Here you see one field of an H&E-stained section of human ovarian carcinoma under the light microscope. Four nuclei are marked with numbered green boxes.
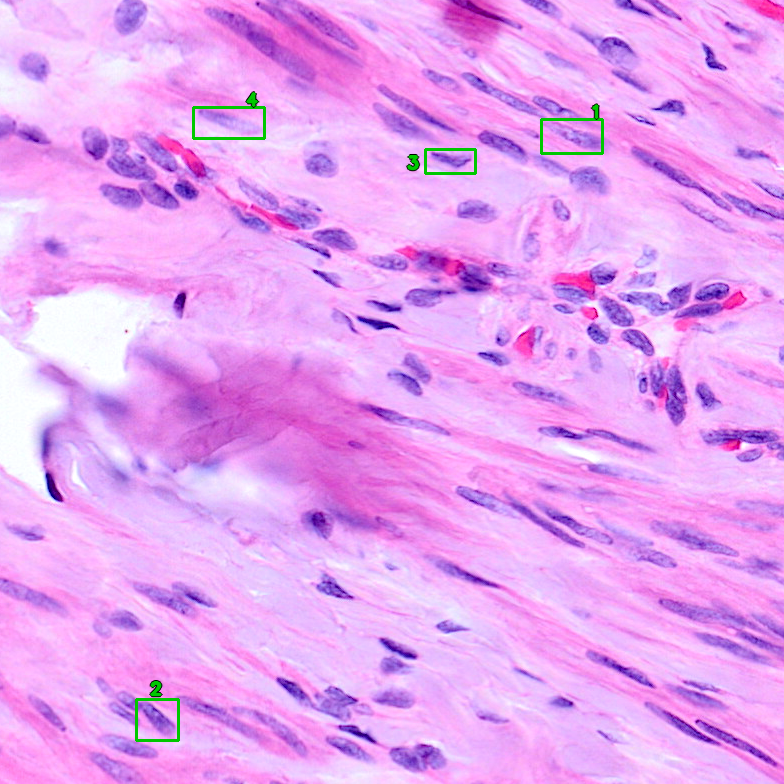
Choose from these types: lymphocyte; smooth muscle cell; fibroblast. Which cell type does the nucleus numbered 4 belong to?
smooth muscle cell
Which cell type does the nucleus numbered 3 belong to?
fibroblast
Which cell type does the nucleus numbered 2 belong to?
smooth muscle cell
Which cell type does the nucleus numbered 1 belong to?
smooth muscle cell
